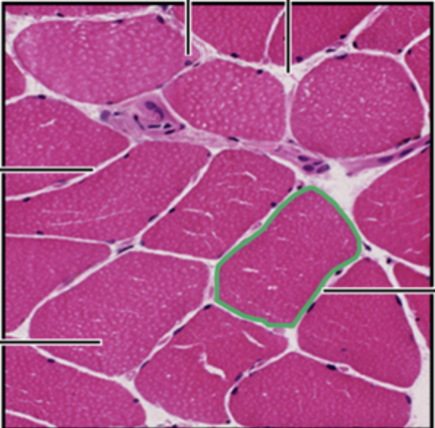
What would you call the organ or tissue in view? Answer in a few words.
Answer: Skeletal muscle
